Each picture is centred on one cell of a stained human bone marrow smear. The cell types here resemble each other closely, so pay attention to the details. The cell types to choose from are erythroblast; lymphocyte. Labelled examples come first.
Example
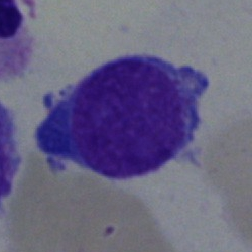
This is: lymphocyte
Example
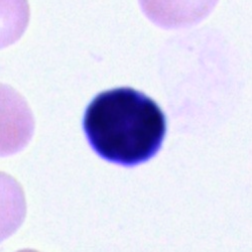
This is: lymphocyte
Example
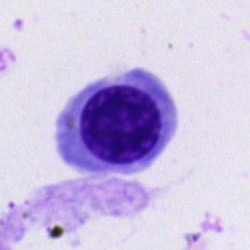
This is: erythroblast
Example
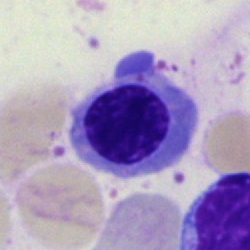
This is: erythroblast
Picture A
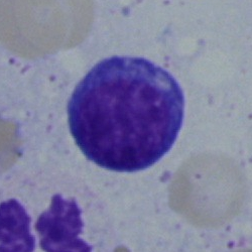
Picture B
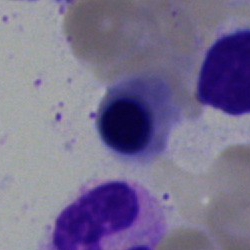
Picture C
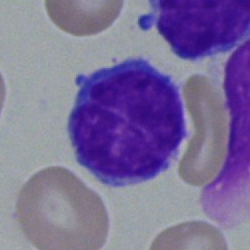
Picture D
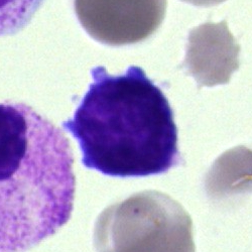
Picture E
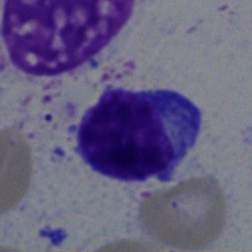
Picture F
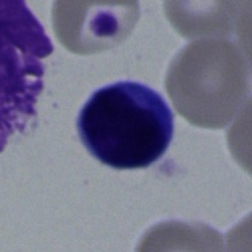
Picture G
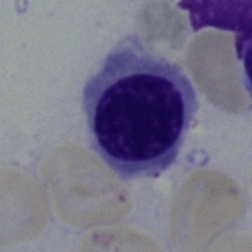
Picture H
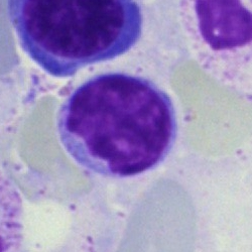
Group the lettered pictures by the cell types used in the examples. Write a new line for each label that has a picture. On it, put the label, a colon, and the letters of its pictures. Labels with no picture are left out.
erythroblast: B, G
lymphocyte: A, C, D, E, F, H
